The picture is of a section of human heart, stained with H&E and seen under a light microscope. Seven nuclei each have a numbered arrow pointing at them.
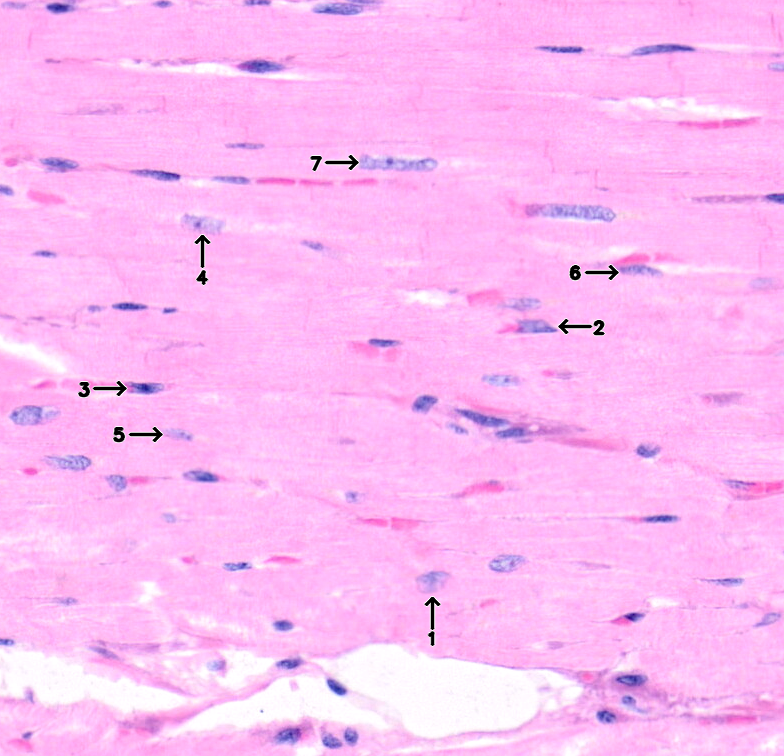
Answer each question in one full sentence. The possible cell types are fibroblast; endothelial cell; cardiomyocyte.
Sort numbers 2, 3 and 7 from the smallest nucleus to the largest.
The order from the smallest nucleus to the largest is 3, 2, 7.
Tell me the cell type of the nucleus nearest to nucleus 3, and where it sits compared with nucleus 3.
The closest nucleus belongs to a cardiomyocyte and sits below and to the right of nucleus 3.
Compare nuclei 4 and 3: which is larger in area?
It is nucleus 4, which covers about 3 times the area of nucleus 3.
